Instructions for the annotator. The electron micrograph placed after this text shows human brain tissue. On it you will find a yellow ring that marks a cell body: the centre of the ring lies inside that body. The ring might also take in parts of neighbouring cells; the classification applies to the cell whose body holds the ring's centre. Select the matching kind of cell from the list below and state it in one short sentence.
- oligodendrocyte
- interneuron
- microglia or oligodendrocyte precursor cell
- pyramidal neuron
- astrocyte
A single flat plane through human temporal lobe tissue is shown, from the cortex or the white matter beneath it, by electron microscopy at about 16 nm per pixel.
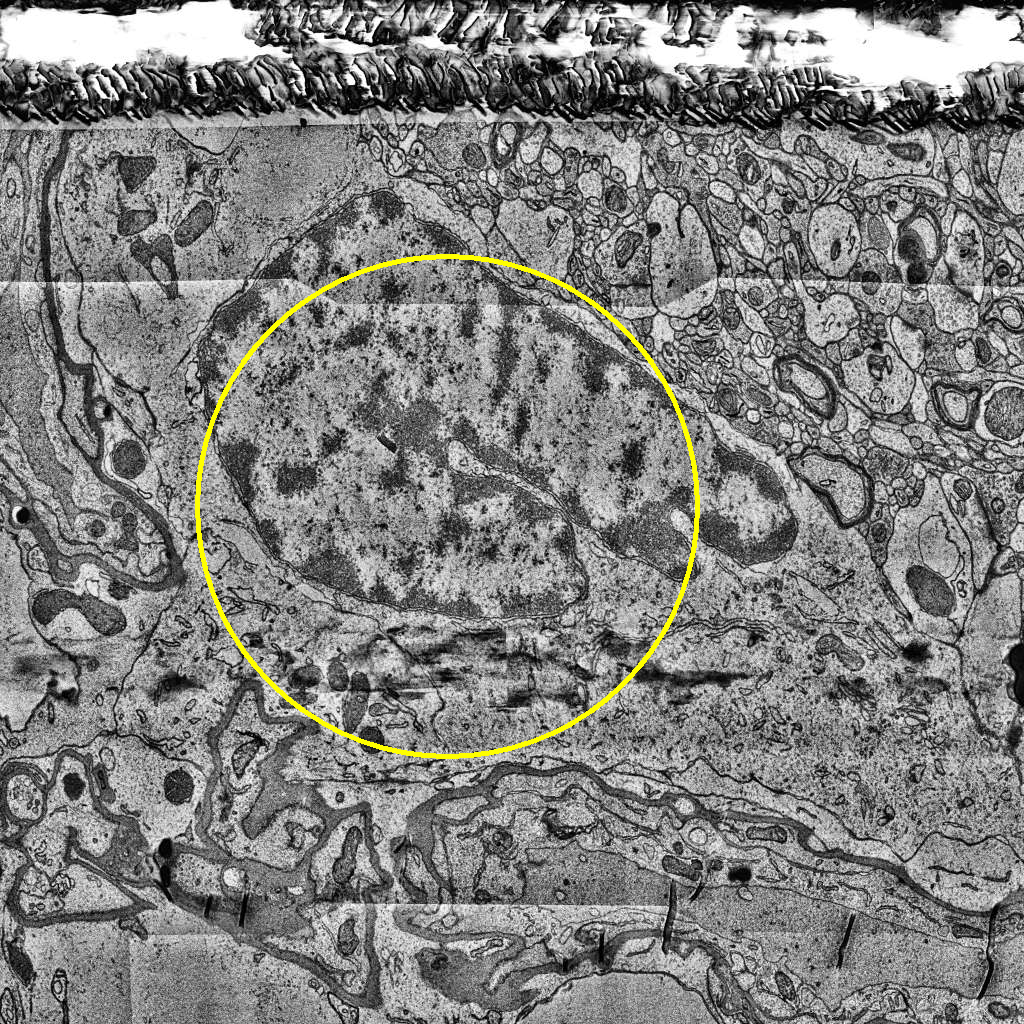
The centre of the ring lies in the cell body of a microglial cell or oligodendrocyte precursor cell.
